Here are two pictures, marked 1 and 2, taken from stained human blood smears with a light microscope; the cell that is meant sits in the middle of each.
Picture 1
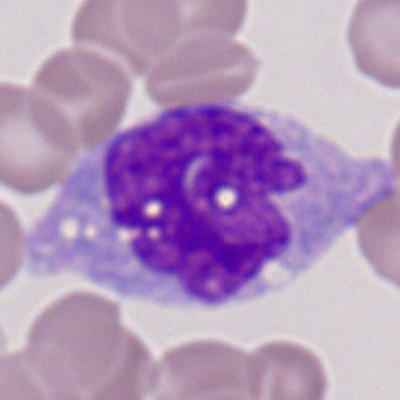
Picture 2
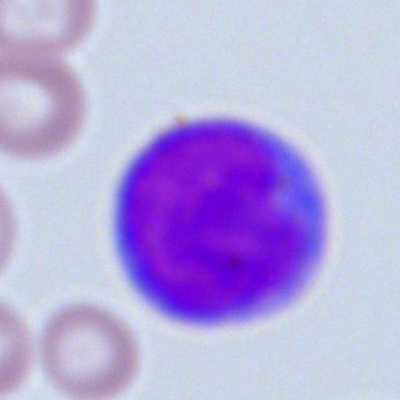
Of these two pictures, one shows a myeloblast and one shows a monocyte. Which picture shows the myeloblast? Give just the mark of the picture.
2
